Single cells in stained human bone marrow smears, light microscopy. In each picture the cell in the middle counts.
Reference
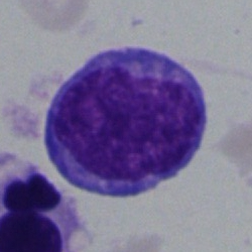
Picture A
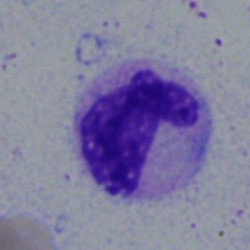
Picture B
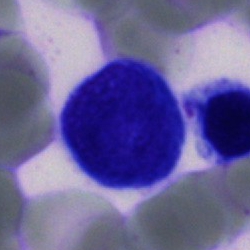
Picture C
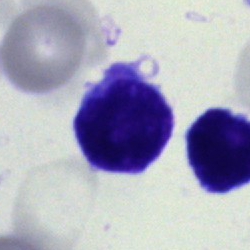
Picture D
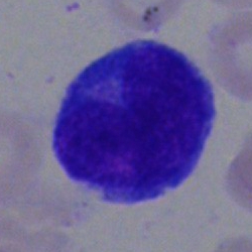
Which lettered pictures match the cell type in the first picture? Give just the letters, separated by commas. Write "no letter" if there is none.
B, C, D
